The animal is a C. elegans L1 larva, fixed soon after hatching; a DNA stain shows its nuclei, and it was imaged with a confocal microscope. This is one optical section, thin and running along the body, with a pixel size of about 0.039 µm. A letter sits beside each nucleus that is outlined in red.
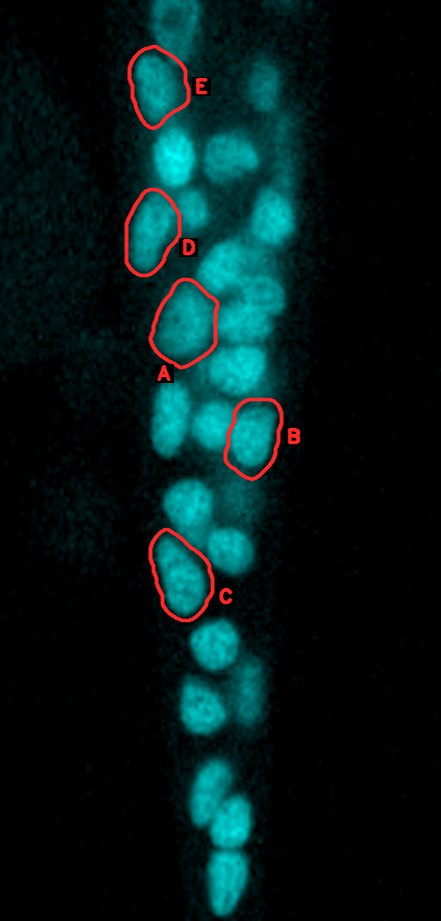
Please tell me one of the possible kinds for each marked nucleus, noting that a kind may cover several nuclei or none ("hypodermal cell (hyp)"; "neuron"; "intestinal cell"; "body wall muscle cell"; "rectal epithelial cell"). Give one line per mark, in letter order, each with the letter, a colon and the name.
A: rectal epithelial cell
B: body wall muscle cell
C: hypodermal cell (hyp)
D: rectal epithelial cell
E: neuron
